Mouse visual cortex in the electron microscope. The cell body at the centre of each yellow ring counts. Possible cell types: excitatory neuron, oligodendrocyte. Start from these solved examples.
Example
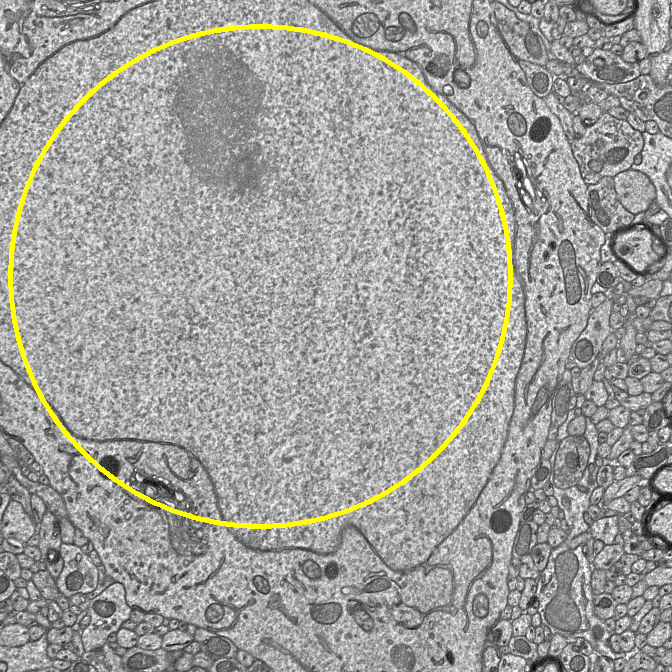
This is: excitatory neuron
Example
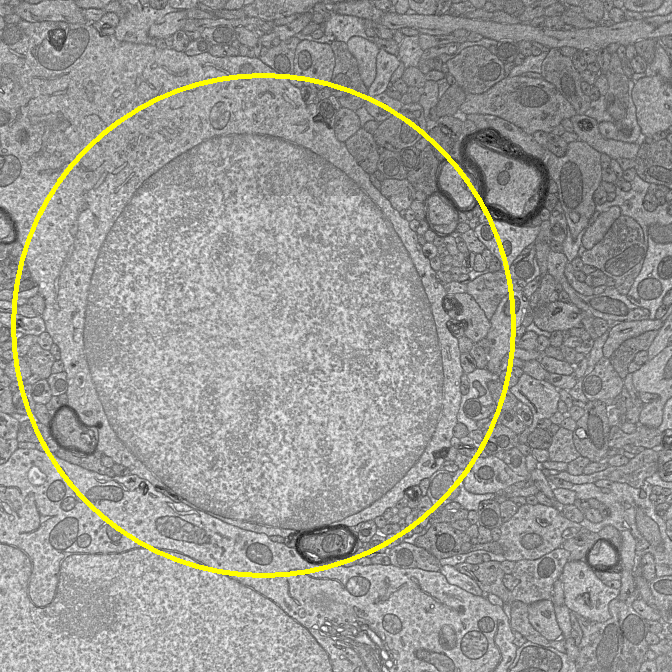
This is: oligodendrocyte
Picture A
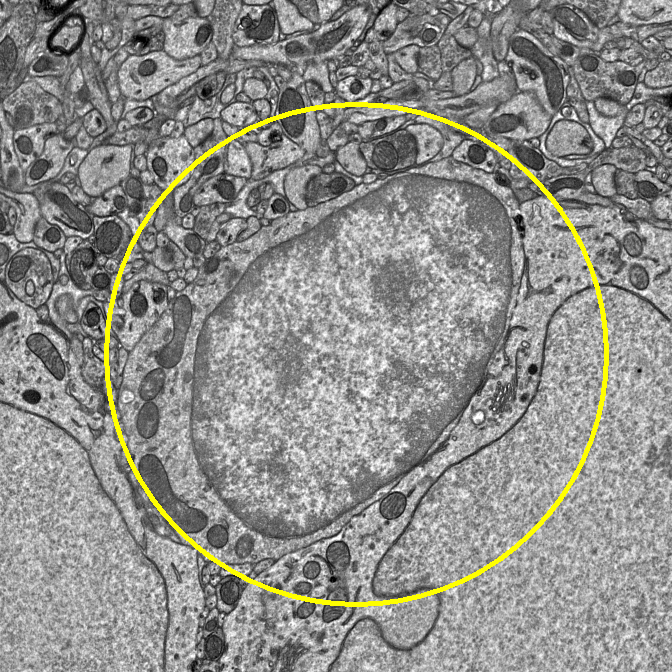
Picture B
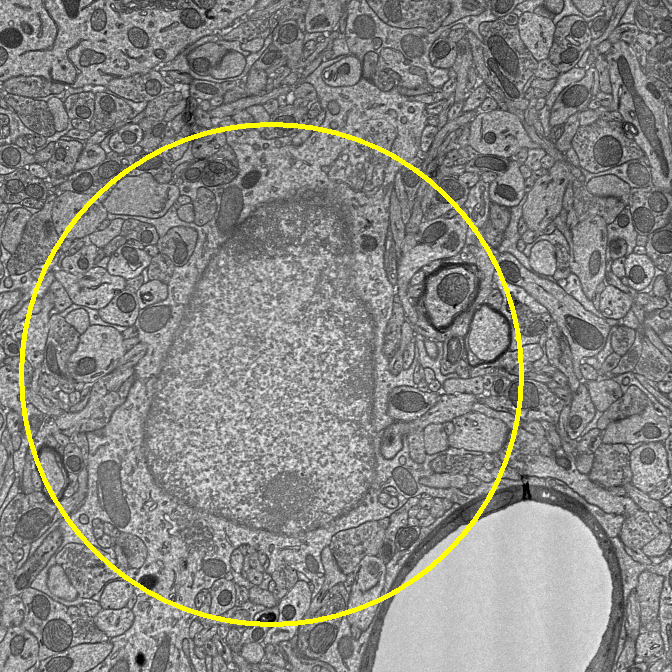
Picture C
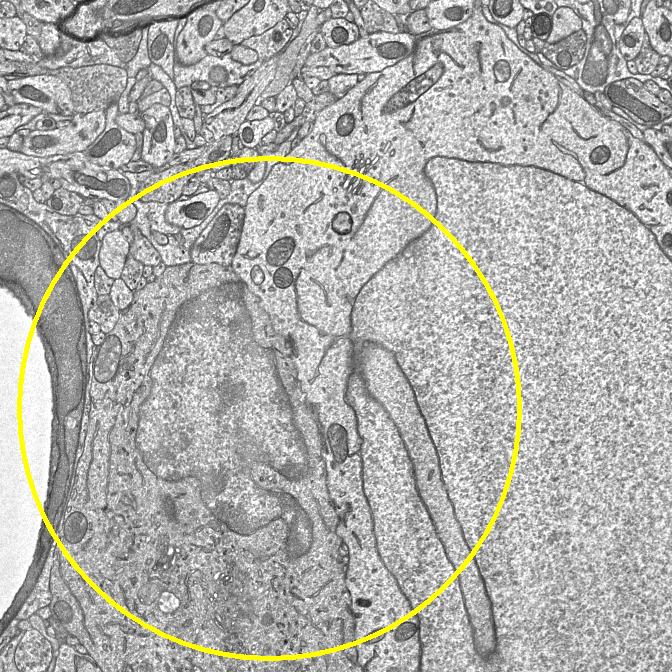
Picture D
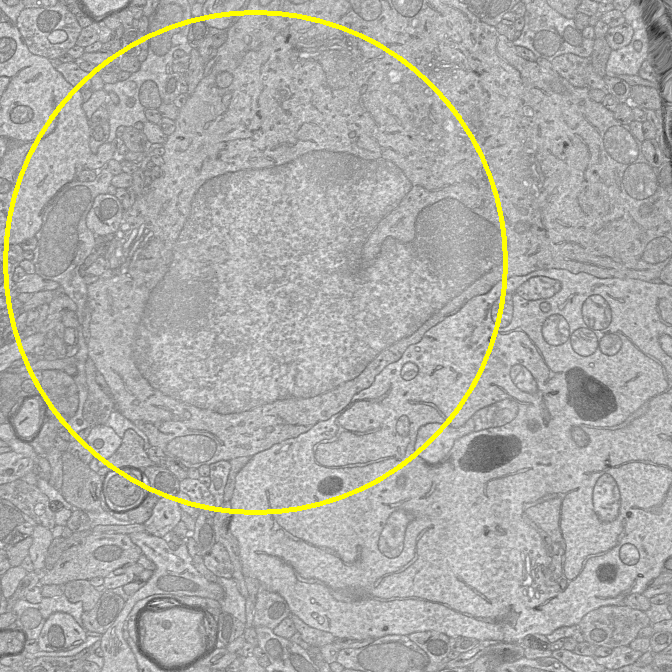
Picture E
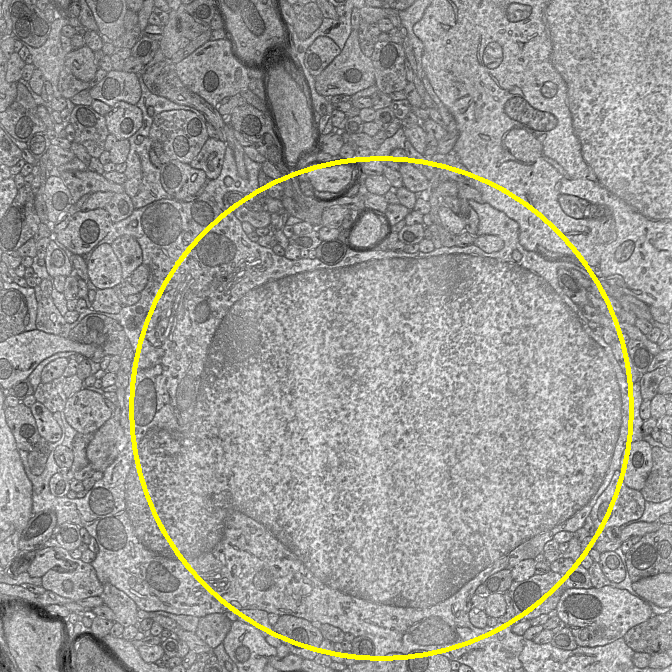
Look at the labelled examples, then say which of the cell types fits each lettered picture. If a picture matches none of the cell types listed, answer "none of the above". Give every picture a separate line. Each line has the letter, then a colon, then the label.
A: oligodendrocyte
B: none of the above
C: oligodendrocyte
D: oligodendrocyte
E: none of the above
